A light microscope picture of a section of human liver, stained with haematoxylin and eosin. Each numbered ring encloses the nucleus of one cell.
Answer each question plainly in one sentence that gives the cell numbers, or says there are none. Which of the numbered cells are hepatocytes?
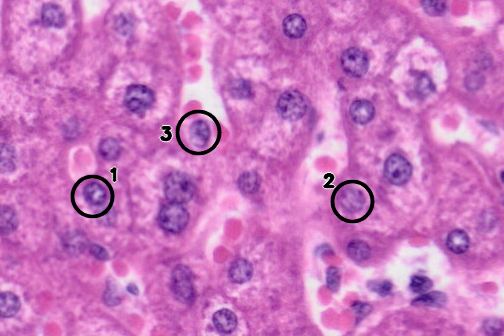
The cells shown with numbers 1 and 2 are hepatocytes.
